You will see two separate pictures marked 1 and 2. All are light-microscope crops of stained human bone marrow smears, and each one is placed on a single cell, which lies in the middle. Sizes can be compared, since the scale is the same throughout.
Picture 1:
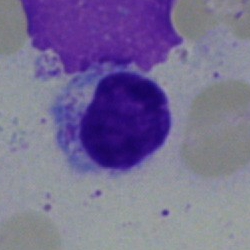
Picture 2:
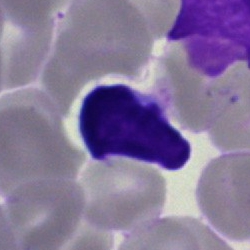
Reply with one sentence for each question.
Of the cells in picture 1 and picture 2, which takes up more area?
Picture 1 holds the larger cell; it covers about 1.5 times the area of the cell in picture 2.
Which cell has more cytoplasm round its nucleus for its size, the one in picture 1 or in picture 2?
The nucleus fills less of the cell in picture 1 than in picture 2.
